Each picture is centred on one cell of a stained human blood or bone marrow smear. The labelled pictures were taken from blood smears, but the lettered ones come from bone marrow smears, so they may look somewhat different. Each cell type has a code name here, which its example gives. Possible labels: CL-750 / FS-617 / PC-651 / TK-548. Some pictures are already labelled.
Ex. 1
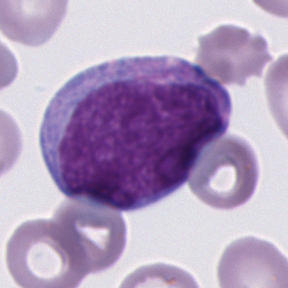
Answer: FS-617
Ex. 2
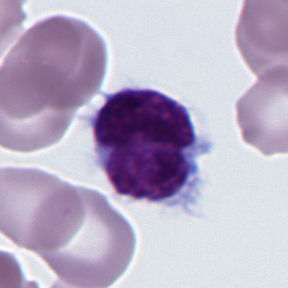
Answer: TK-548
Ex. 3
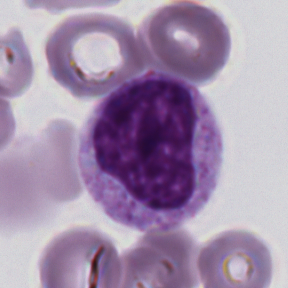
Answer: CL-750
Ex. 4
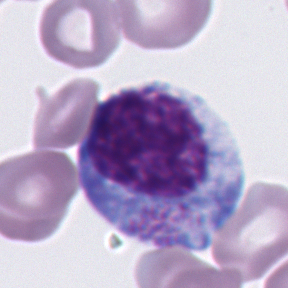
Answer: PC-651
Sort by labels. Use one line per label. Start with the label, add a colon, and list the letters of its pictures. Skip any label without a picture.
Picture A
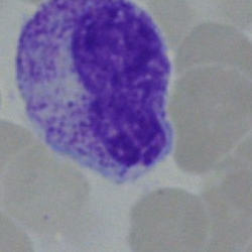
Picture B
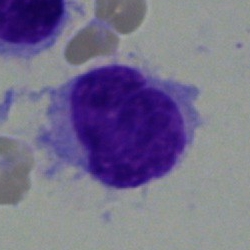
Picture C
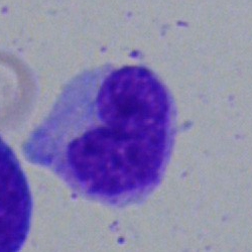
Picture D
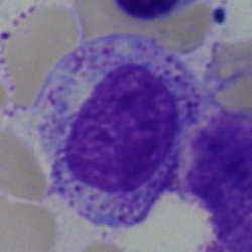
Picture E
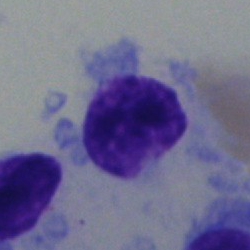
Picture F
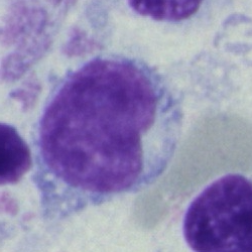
CL-750: A, C
PC-651: D
TK-548: B, E, F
